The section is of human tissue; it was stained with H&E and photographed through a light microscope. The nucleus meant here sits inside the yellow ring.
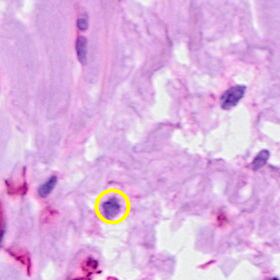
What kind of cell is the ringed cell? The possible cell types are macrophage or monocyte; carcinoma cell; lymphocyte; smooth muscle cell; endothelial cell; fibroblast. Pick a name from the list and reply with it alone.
macrophage or monocyte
